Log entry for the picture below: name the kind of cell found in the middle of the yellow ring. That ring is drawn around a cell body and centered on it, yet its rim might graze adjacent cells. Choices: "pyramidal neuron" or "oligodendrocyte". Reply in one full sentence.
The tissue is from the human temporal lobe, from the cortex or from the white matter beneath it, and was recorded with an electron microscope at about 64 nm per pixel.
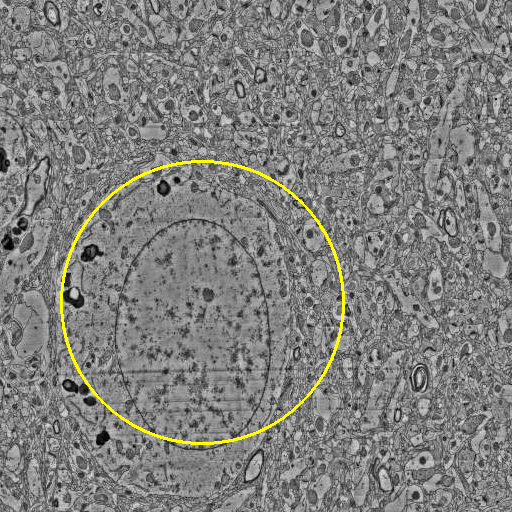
The cell in the middle of the yellow ring in this picture is a pyramidal neuron.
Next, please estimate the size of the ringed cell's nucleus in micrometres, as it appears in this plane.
Roughly 15 micrometres by 10 micrometres, in this plane.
